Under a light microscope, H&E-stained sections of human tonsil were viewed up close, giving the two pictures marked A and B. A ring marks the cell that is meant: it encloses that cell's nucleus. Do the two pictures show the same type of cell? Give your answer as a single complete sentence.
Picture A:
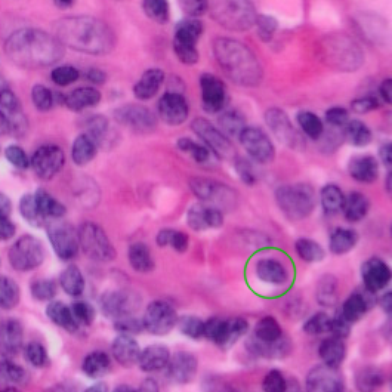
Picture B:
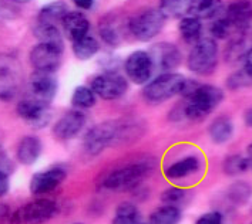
Yes, both are endothelial cells.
